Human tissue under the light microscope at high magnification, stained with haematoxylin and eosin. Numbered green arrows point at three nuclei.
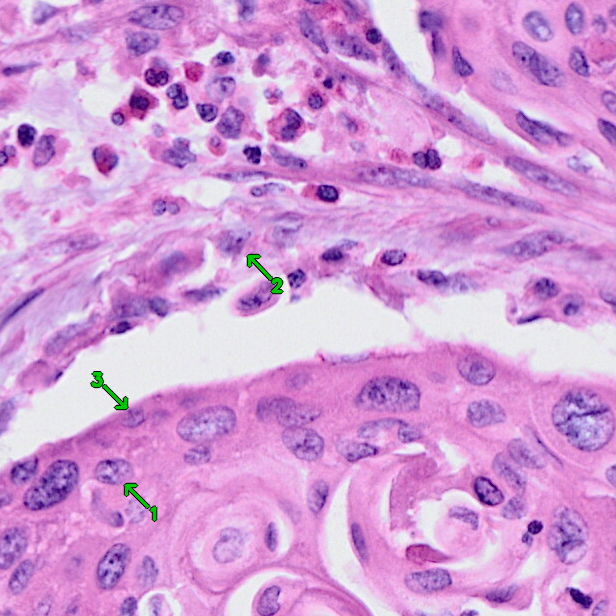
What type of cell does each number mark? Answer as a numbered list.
1. squamous carcinoma cell
2. fibroblast
3. squamous carcinoma cell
